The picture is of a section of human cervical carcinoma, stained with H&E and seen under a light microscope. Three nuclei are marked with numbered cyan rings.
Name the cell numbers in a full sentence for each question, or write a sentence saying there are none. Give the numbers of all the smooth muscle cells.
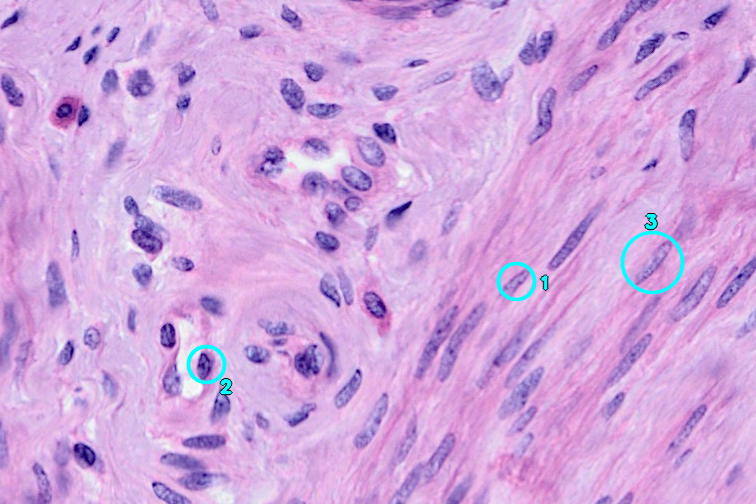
The cells referred to by numbers 1 and 3 are smooth muscle cells.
